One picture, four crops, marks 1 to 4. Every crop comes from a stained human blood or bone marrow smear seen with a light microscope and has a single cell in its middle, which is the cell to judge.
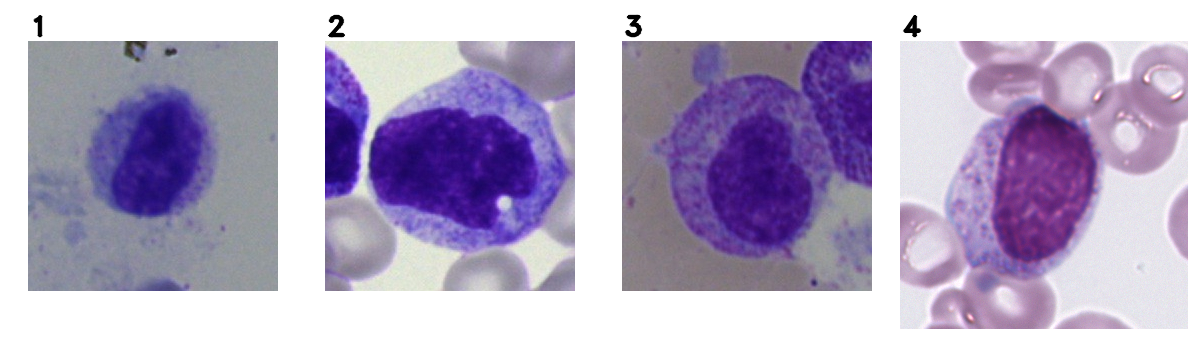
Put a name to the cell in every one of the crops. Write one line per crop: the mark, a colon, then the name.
1: metamyelocyte
2: monocyte
3: metamyelocyte
4: myelocyte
